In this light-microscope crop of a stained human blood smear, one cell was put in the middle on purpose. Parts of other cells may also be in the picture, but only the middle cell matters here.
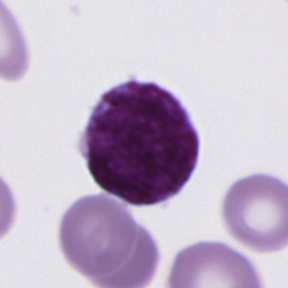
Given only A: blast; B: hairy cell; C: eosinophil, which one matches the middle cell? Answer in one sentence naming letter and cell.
The cell centred in the crop is a blast, and the correct option is thus A.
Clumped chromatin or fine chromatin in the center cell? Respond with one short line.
The nucleus shows chromatin that is coarsely clumped.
